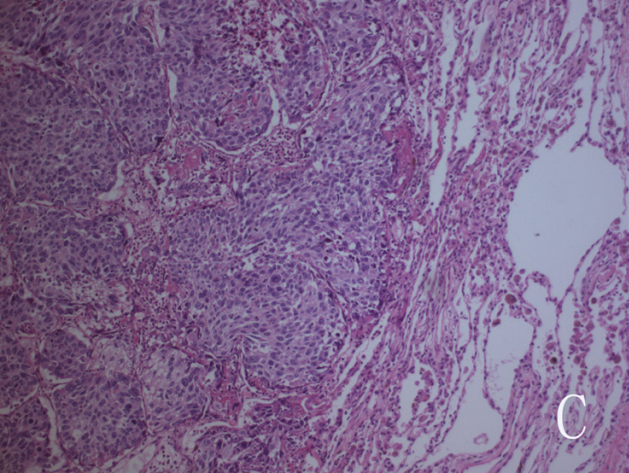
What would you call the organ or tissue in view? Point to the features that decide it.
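Left part holds solid sheets and nests of crowded tumor cells. Right part shows thin-walled air spaces with loose septa. Scattered cells lie free within the air spaces.
Conclusion: lung tumor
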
